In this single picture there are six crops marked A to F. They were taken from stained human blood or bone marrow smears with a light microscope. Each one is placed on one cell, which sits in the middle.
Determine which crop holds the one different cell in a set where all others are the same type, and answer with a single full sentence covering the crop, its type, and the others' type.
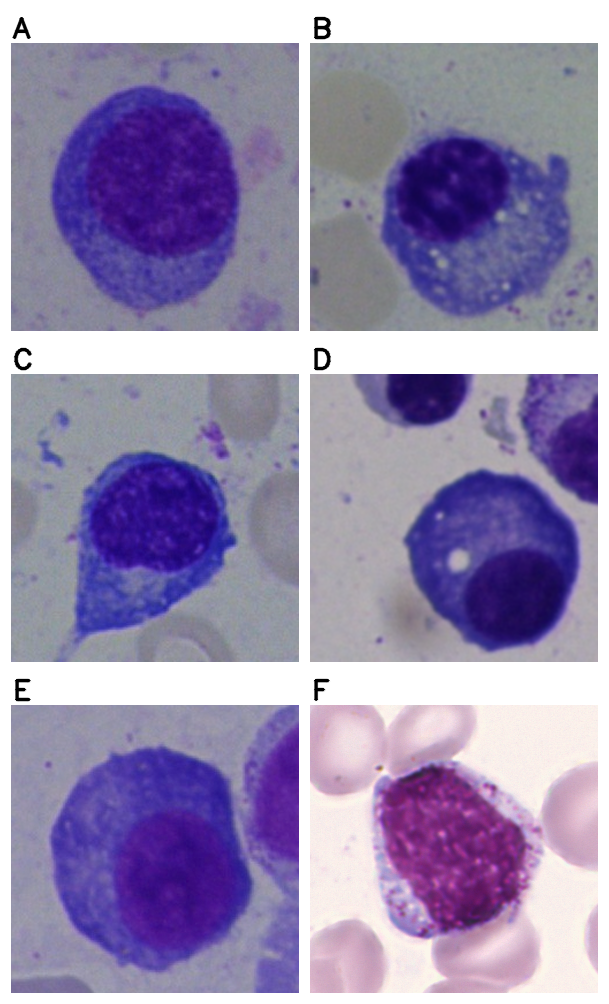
The rest of the crops show plasma cells; crop F is the one showing a myelocyte.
